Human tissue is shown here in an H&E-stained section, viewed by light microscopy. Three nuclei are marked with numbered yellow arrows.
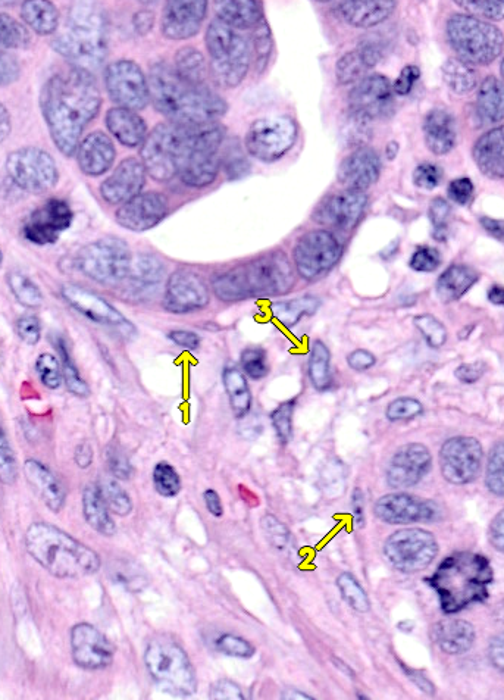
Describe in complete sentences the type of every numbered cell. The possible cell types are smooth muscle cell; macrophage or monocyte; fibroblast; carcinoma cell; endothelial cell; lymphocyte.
Cell 1 is a macrophage or monocyte. Cells 2 and 3 are fibroblasts.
